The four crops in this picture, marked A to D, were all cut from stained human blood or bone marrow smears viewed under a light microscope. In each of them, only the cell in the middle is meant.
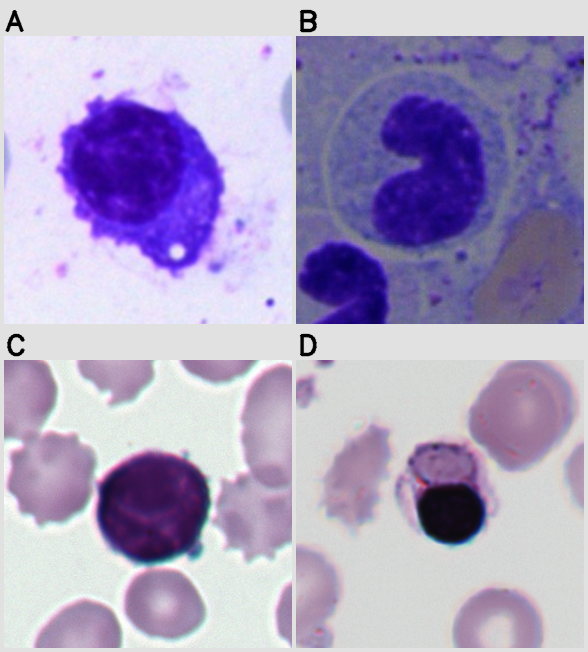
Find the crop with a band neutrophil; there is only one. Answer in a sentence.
The requested cell, a band neutrophil, is the one in crop B.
